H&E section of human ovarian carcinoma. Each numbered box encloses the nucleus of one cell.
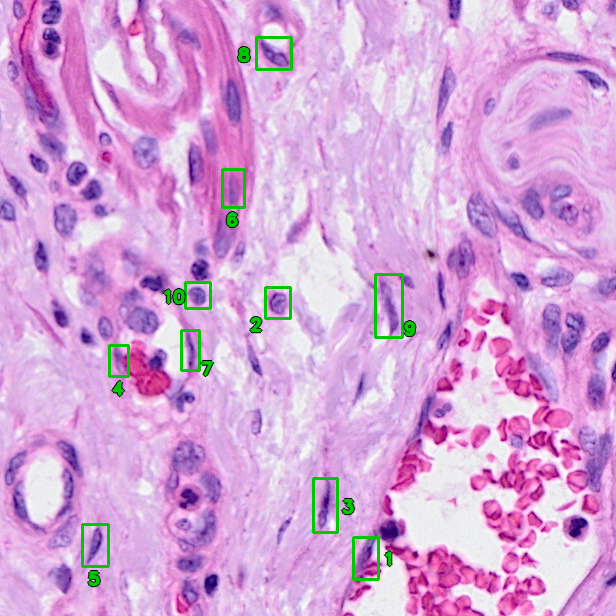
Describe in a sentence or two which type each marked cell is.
Cell 1 is an endothelial cell, cell 2 is a macrophage or monocyte, cell 3 is a fibroblast, cell 4 is an endothelial cell, cell 5 is a fibroblast, cell 6 is a smooth muscle cell, cell 7 is an endothelial cell, cell 8 is an endothelial cell, cell 9 is a fibroblast and cell 10 is a lymphocyte.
